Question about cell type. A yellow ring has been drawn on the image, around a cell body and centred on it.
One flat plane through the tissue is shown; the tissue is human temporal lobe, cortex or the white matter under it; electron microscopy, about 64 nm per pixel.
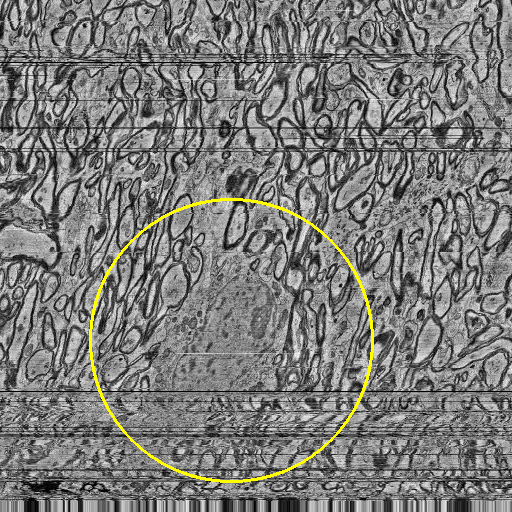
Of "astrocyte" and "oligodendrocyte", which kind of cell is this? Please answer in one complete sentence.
At the centre of the ring lies an astrocyte.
